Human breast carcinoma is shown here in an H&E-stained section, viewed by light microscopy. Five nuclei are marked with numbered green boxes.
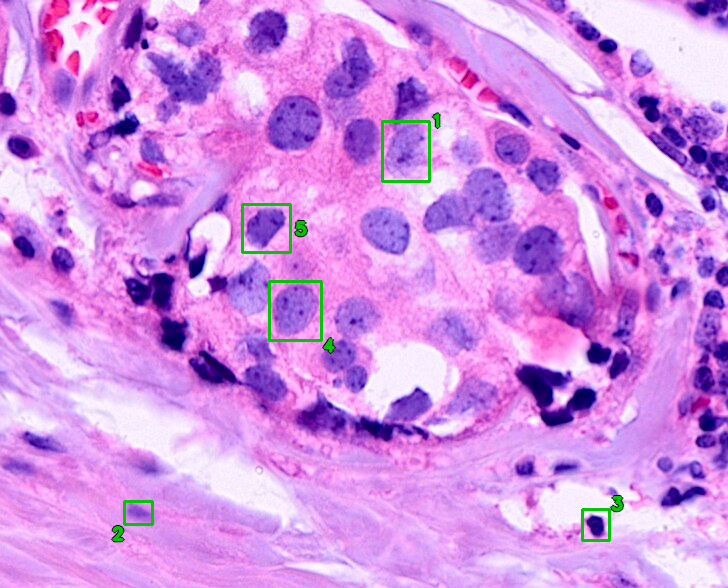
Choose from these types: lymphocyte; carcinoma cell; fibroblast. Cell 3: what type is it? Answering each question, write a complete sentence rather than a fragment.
Recognised here as a lymphocyte is the cell numbered 3.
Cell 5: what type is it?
The cell indicated by marker 5 is a carcinoma cell in this section.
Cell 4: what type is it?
The cell that bears the number 4 is a carcinoma cell.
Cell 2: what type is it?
The numbered cell 2 in this field is a fibroblast.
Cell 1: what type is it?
The marked cell with the number 1 is recognised as a carcinoma cell.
